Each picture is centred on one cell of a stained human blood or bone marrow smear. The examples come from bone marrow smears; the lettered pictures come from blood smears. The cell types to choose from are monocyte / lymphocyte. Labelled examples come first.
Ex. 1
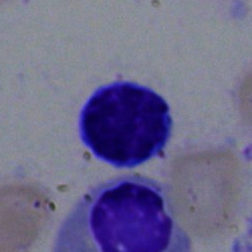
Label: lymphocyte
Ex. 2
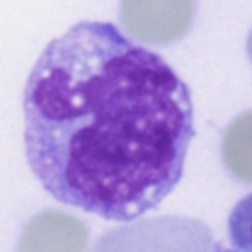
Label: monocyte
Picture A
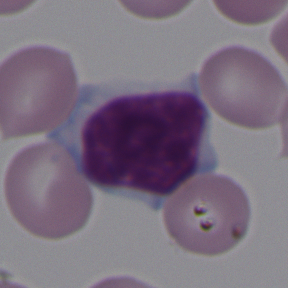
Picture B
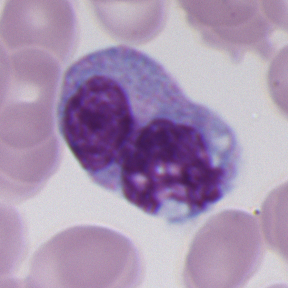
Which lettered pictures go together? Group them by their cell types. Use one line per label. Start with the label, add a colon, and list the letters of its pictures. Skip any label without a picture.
monocyte: B
lymphocyte: A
